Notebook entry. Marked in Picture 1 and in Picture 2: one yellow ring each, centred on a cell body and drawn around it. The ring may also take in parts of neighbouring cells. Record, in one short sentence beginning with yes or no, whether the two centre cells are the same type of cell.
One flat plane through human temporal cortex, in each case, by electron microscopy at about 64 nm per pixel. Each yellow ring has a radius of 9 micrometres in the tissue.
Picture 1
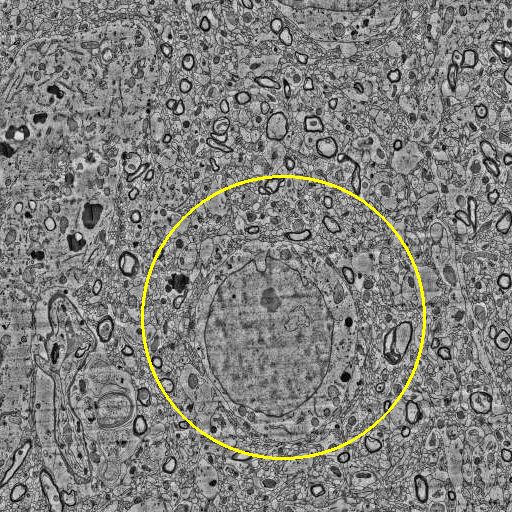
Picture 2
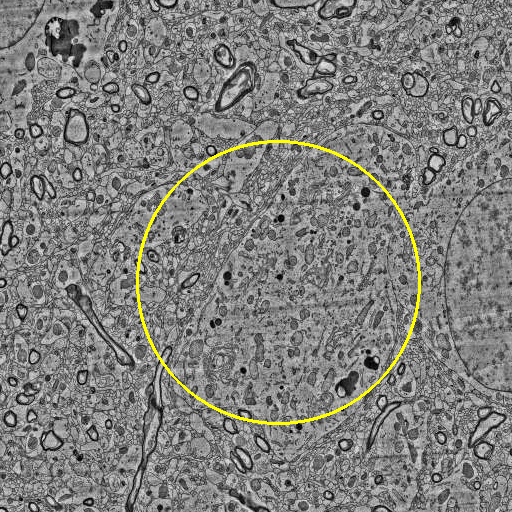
Yes, both are the same type of cell.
